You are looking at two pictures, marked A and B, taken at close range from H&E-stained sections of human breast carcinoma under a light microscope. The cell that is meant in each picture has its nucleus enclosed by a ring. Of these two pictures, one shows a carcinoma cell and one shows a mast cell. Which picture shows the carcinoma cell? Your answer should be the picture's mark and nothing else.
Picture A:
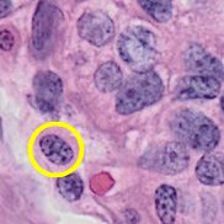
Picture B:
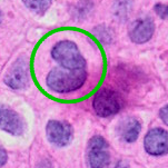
B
